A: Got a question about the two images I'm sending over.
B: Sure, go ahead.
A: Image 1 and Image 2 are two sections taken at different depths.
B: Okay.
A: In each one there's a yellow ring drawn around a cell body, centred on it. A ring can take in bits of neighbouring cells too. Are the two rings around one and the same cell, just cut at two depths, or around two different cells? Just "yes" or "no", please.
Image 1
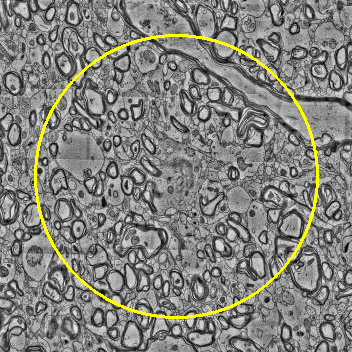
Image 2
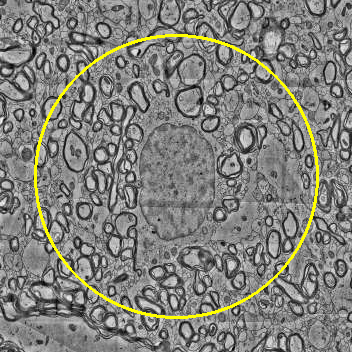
yes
